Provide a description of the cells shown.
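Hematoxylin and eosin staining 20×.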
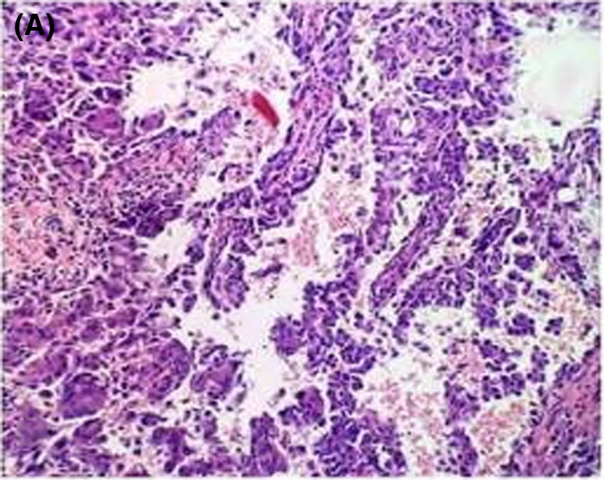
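This is a lesion built of epithelioid cells with vascular areas. Between the cords are open, clear spaces, several of which hold pink-red blood cells, giving the tissue a channel-like, vascular look. No capsule borders the tissue in view. The nuclei vary in size and stain intensely dark purple, and the cells crowd together without orderly layering.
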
